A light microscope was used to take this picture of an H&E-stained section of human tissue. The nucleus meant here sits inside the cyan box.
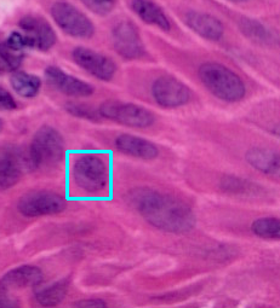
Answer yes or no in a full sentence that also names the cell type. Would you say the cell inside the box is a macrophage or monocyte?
No, the cell inside the box is not a macrophage or monocyte; a keratinocyte is what it is.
